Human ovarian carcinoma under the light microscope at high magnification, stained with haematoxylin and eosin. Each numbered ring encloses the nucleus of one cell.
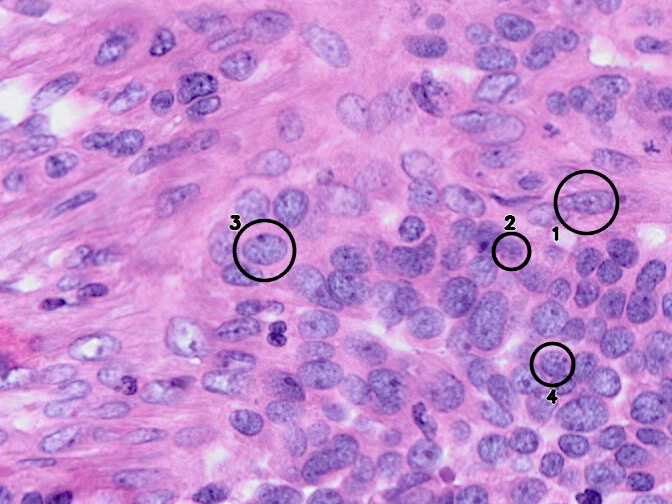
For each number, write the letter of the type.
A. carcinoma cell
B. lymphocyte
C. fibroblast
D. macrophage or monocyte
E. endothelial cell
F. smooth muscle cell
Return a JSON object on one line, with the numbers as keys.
{"1": "C", "2": "A", "3": "A", "4": "A"}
